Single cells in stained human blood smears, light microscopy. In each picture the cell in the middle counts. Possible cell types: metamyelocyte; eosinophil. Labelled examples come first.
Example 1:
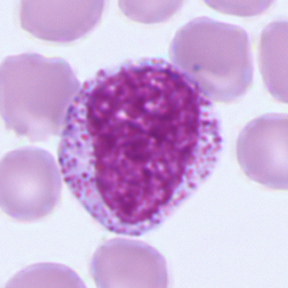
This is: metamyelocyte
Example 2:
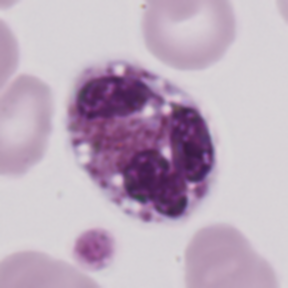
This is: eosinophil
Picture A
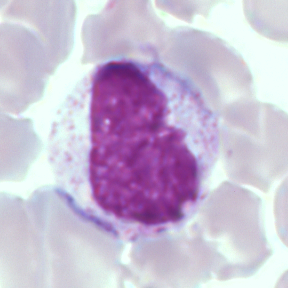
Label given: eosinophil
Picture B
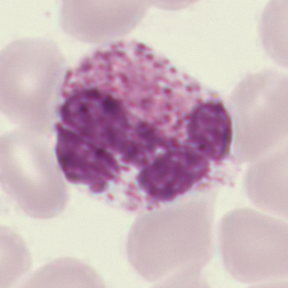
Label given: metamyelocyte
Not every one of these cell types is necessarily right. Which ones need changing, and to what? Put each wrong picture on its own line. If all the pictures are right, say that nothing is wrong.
A: metamyelocyte, not eosinophil
B: eosinophil, not metamyelocyte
